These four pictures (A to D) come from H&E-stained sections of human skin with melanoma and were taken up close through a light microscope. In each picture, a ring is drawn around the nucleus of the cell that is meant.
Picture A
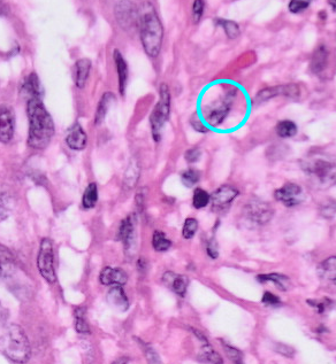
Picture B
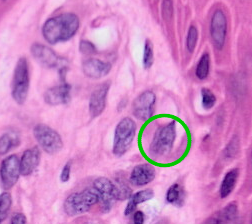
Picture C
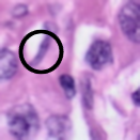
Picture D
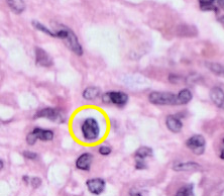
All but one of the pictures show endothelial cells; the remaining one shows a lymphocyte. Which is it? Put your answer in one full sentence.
Picture D shows the lymphocyte.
